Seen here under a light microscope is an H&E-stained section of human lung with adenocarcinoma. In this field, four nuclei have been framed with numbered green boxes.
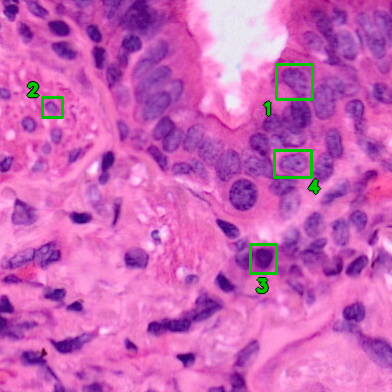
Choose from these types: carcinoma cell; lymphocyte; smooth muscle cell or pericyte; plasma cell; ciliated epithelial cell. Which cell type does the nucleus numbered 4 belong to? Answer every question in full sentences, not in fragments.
The cell that carries the label 4 is a ciliated epithelial cell.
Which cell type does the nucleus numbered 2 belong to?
The nucleus labelled 2 belongs to a smooth muscle cell or pericyte.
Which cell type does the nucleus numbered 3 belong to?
It is as a plasma cell that the cell numbered 3 is identified.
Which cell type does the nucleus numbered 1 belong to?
Cell 1, among those numbered, is a ciliated epithelial cell.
